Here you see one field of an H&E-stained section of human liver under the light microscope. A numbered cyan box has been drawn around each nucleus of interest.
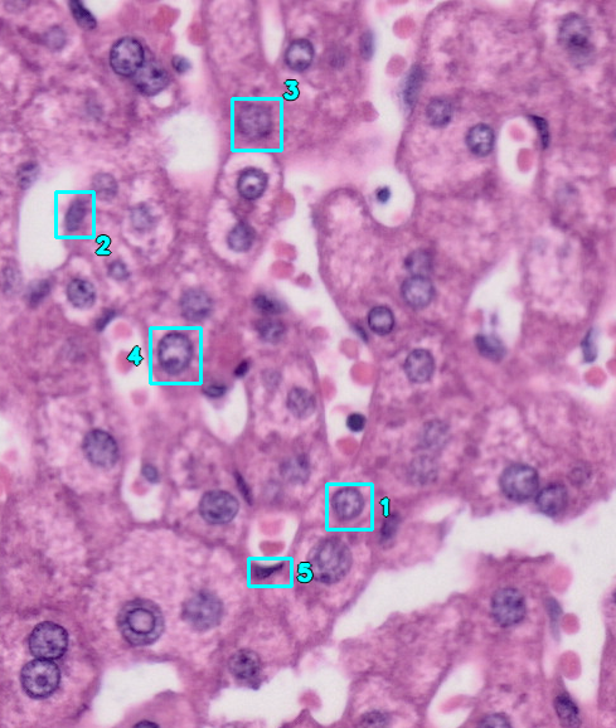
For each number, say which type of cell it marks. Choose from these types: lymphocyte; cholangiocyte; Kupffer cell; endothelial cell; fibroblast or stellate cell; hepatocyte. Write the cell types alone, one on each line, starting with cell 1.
hepatocyte
Kupffer cell
hepatocyte
hepatocyte
endothelial cell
